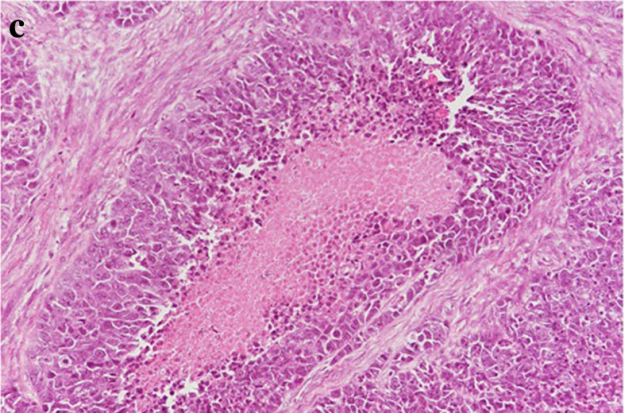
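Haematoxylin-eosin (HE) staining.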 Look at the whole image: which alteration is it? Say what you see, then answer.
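Cell necrosis. The centre of the cell nest is a pale pink amorphous area without intact nuclei. Scattered dark nuclear debris lies at its edges. Intact purple tumour cells surround it.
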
